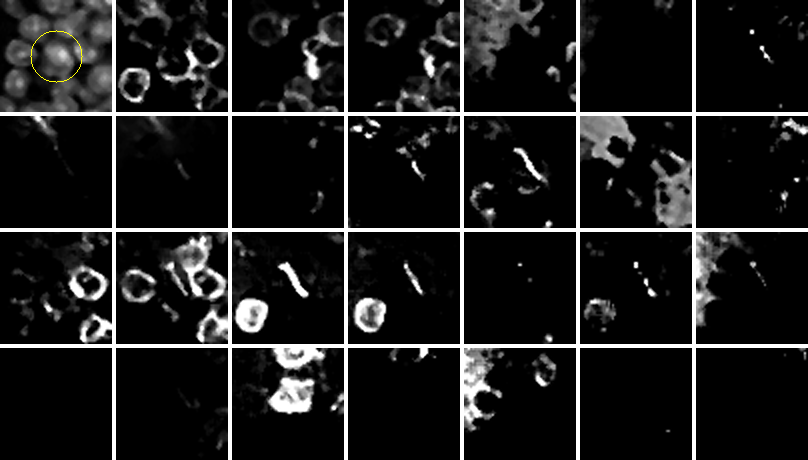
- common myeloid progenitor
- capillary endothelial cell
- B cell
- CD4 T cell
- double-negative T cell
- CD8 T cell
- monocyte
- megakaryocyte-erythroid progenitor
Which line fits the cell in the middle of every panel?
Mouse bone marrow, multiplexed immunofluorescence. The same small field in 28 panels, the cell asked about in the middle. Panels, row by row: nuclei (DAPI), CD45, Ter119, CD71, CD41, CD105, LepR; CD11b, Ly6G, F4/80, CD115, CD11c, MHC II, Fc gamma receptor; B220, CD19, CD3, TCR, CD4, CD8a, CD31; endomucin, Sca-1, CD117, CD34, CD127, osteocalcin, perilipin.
megakaryocyte-erythroid progenitor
